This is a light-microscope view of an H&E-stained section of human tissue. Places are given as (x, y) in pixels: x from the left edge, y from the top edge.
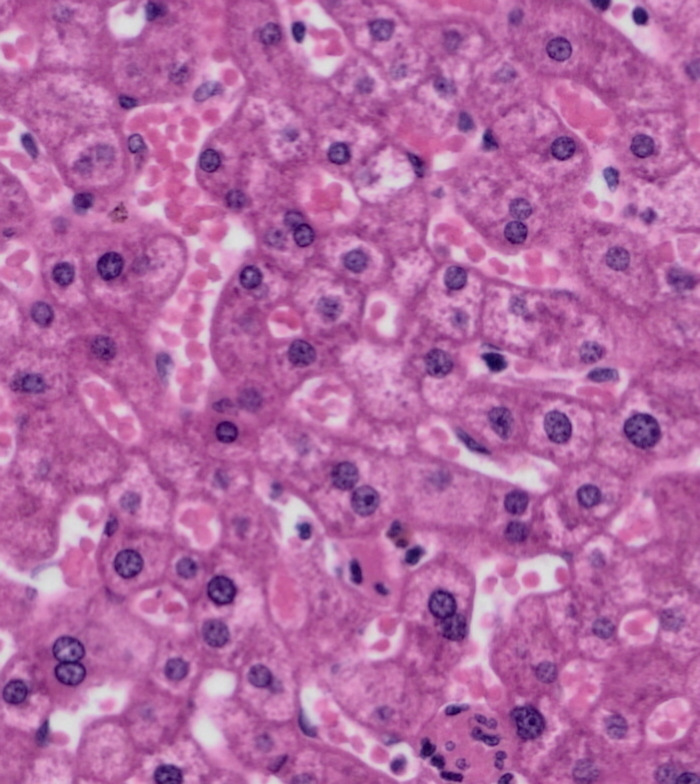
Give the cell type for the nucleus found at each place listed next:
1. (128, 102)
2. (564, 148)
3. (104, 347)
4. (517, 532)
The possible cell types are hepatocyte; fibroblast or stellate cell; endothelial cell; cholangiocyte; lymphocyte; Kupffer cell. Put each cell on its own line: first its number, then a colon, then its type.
1: fibroblast or stellate cell
2: hepatocyte
3: hepatocyte
4: hepatocyte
